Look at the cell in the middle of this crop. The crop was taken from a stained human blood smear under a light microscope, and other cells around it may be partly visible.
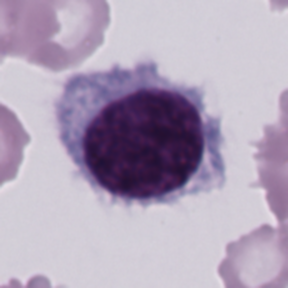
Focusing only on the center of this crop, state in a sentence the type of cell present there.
On this slide crop, the central cell is a hairy cell.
